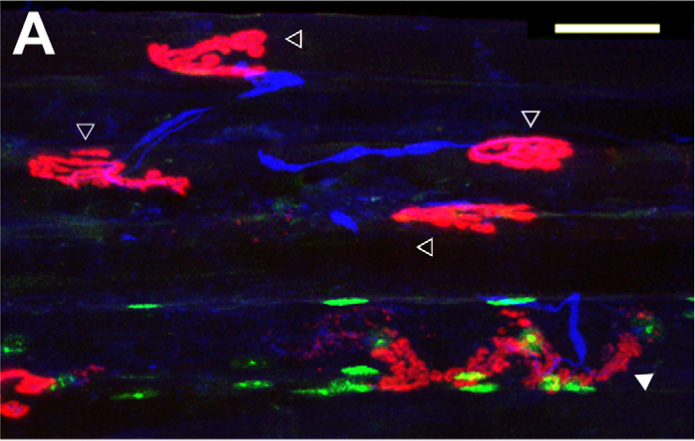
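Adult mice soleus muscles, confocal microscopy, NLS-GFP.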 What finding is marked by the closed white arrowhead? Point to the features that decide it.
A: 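Disassembly. The red structure at the closed arrowhead is broken into many small scattered fragments. Green nuclei lie among and beside these red fragments. The red fragments are spread over a wider, irregular area than the compact red structures above.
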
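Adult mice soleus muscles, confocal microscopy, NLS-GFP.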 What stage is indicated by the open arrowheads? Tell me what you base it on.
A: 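The red structures at the open arrowheads are compact, continuous and branched, like pretzels. Blue nerve fibres run up to these red structures. No green nuclei lie in the fibres carrying these structures.
Answer: intact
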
